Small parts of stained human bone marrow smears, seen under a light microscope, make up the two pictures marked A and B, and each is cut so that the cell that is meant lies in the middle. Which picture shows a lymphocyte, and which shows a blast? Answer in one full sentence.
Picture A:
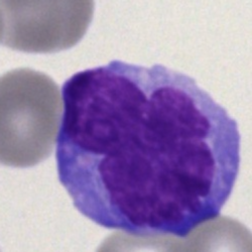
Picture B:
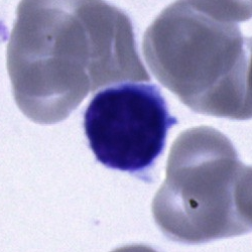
Picture B shows a lymphocyte, while picture A shows a blast.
